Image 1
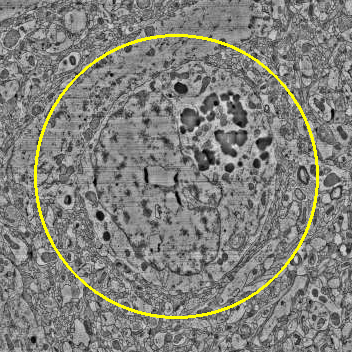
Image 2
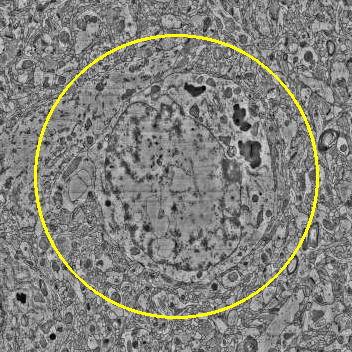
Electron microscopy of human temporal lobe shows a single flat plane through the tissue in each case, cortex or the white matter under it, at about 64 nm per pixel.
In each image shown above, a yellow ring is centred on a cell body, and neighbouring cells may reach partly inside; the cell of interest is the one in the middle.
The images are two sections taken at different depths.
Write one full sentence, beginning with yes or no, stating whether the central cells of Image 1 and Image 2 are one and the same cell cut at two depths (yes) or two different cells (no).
Yes, the rings do not mark different cells but one cell.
